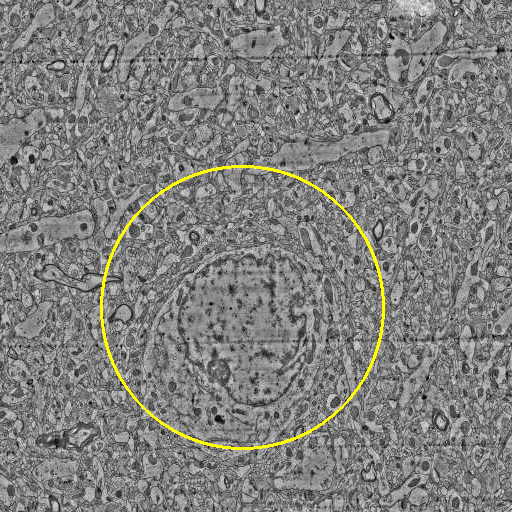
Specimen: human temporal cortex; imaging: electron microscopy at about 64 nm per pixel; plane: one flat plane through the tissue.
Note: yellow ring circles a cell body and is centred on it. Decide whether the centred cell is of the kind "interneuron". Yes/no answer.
Yes, the centred cell is of that kind.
